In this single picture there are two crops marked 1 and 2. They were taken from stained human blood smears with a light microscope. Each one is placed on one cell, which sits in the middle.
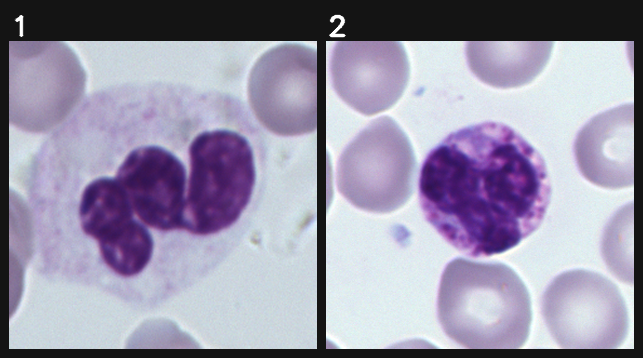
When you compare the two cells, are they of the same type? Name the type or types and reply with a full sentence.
No, the assignment should read crop 1, a neutrophil; crop 2, a basophil.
